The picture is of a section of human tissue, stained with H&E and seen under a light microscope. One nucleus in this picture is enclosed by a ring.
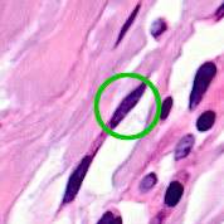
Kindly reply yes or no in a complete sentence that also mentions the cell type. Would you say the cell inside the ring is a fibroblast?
Yes, with respect to cell type, the cell inside the ring is a fibroblast.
